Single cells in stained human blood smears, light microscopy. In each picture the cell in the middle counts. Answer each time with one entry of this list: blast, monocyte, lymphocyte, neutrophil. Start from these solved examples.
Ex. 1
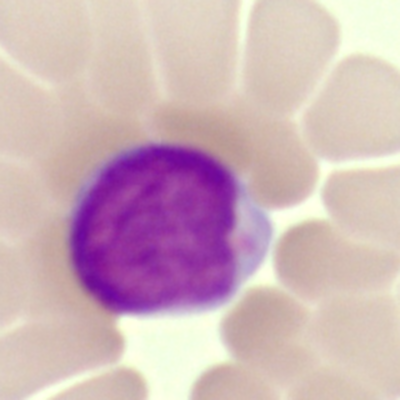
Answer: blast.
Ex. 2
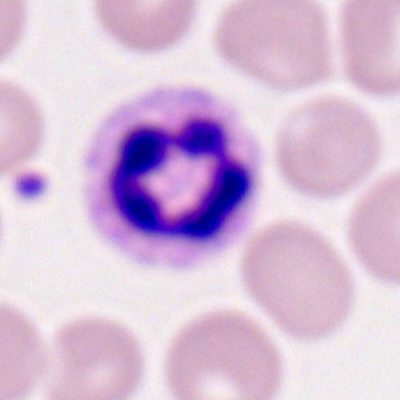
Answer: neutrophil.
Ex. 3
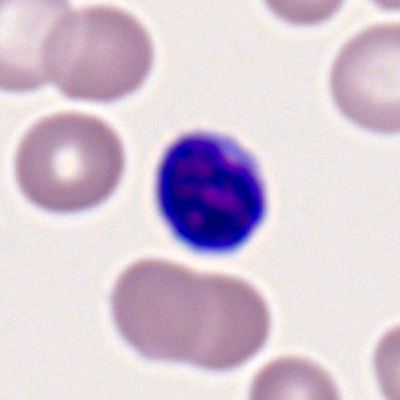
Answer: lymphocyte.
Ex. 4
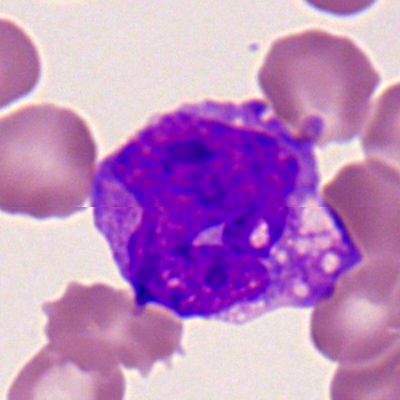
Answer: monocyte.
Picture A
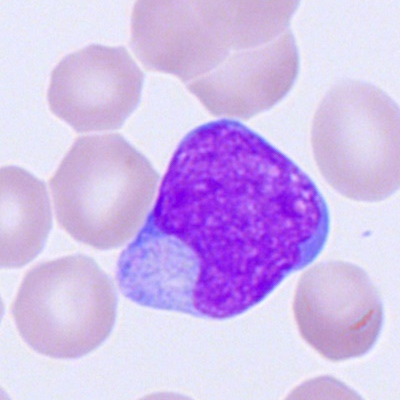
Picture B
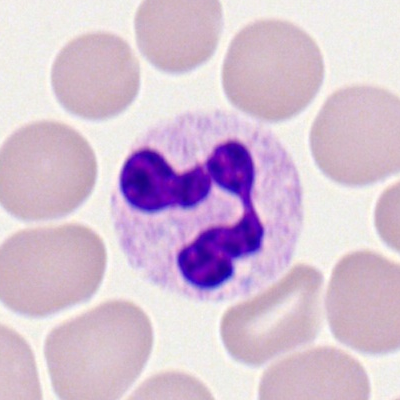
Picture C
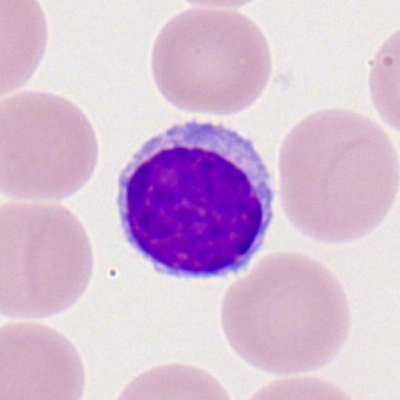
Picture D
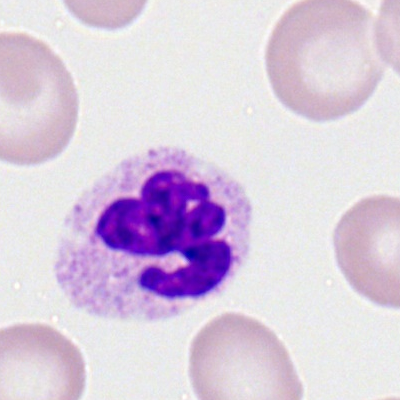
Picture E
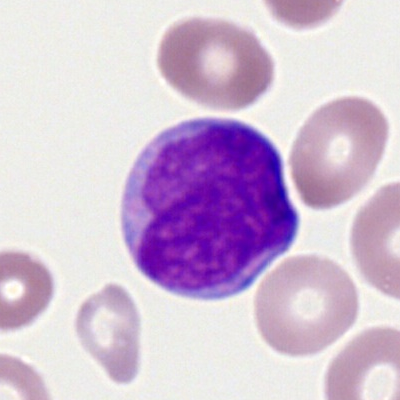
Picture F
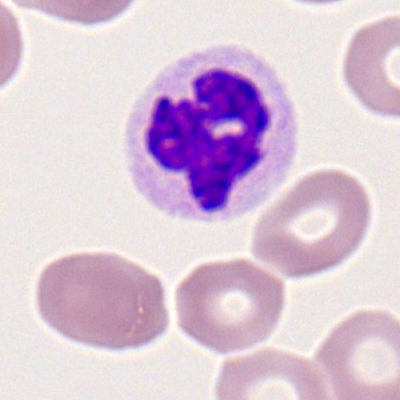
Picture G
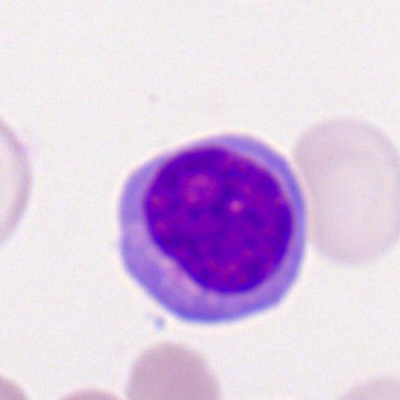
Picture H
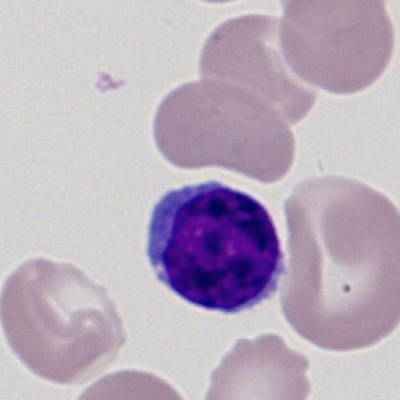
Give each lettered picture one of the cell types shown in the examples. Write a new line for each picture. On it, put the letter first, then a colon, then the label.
A: blast.
B: neutrophil.
C: lymphocyte.
D: neutrophil.
E: blast.
F: neutrophil.
G: lymphocyte.
H: lymphocyte.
